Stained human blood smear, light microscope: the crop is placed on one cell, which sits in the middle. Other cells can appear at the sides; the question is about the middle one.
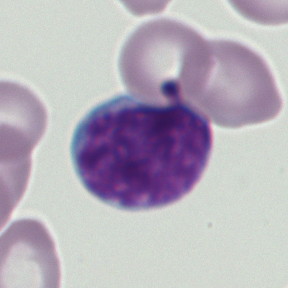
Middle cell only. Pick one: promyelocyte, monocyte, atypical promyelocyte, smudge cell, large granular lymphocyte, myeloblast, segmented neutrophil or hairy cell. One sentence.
The cell centred in this crop is categorized as a myeloblast.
